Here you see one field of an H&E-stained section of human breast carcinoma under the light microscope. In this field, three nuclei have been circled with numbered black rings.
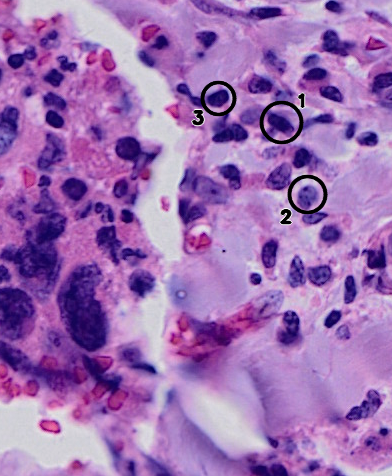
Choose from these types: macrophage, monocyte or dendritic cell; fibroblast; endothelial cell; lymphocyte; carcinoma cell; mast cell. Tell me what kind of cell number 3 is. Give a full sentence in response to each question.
To a lymphocyte belongs the nucleus marked 3.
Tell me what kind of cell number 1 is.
The cell marked with the number 1 is a lymphocyte.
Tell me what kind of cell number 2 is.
The numbered cell 2 is identified here as a mast cell.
